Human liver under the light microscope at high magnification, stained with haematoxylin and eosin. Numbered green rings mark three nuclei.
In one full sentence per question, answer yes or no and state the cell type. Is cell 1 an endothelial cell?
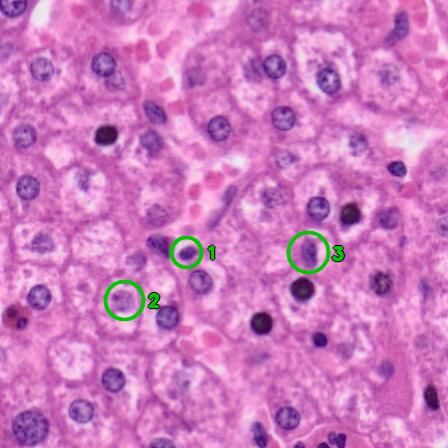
No, the cell that carries number 1 is a lymphocyte, not an endothelial cell.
